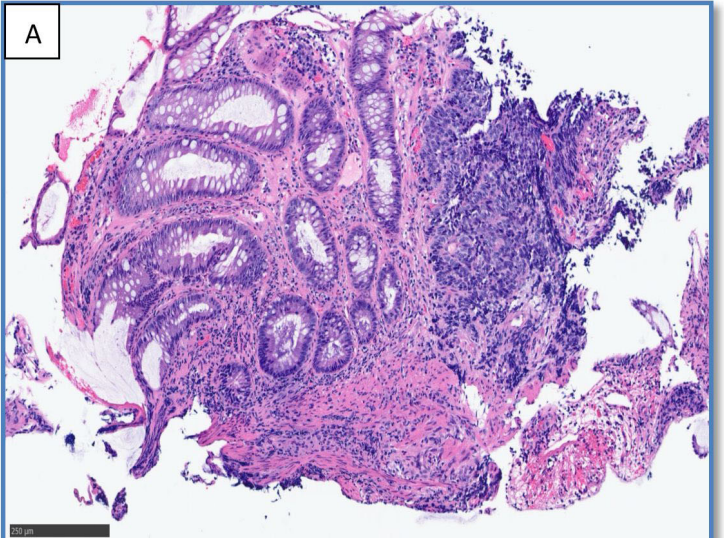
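This is colonic mucosa with regular crypts lined by goblet cells on the left, and on the right a proliferation of atypical cells arranged in a solid sheet. The atypical cells are small and dark blue, with scant cytoplasm and crowded hyperchromatic nuclei, giving the area a much darker look than the mucosa beside it. Pink fibrous stroma lies beneath the crypts and between the two areas.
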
